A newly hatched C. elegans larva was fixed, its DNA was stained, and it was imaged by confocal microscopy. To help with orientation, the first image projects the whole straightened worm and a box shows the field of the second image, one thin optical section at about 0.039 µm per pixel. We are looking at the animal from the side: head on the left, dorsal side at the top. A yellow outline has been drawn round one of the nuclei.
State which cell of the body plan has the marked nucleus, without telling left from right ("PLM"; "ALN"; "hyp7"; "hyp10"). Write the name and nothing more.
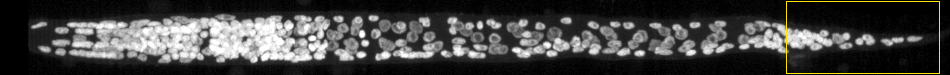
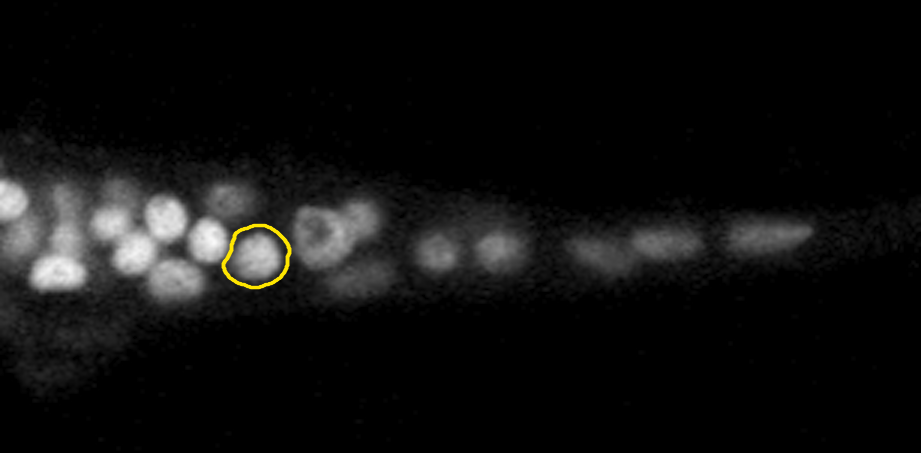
PLM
